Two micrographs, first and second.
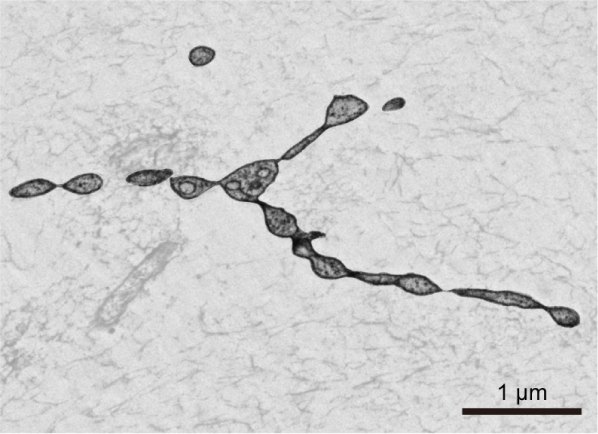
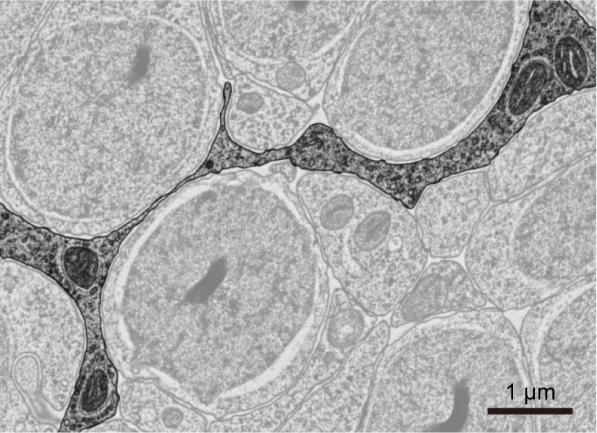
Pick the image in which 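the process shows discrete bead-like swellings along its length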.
The first image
